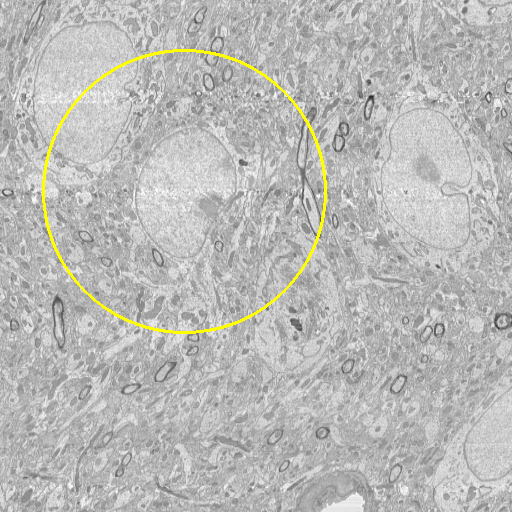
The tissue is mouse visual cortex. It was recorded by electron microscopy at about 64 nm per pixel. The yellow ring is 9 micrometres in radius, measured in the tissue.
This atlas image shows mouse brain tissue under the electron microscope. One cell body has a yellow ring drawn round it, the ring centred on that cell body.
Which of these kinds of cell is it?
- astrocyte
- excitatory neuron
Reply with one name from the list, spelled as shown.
astrocyte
